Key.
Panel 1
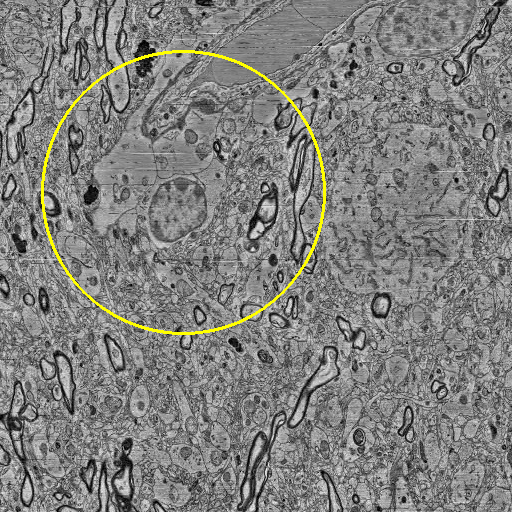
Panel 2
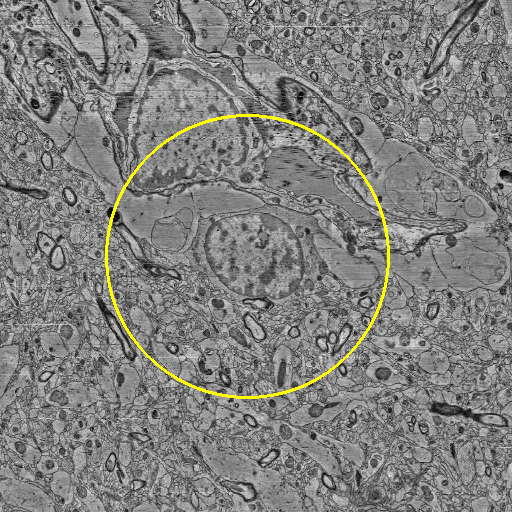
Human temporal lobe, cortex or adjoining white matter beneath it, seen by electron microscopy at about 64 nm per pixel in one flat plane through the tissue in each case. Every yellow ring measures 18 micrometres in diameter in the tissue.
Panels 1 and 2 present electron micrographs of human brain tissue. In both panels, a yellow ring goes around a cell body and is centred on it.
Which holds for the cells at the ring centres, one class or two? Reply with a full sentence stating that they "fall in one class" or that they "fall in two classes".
Taken together, the ring-centre cells of the two panels fall in two classes.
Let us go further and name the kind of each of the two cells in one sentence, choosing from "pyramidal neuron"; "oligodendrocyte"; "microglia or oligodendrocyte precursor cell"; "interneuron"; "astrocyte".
The ring of the first picture is on a microglial cell or oligodendrocyte precursor cell, the ring of the second on an oligodendrocyte.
